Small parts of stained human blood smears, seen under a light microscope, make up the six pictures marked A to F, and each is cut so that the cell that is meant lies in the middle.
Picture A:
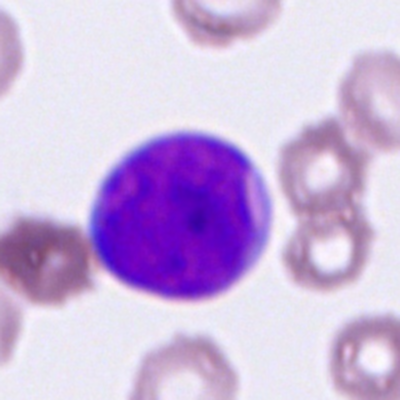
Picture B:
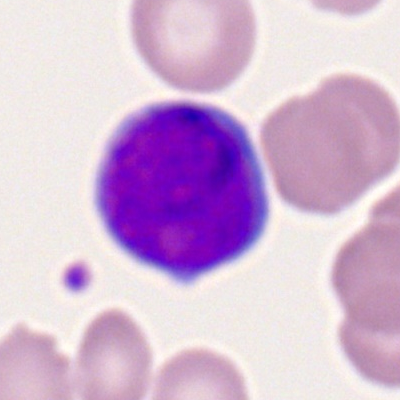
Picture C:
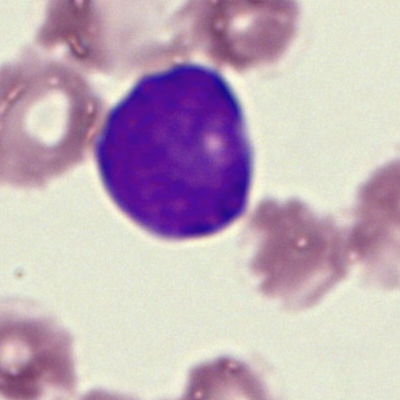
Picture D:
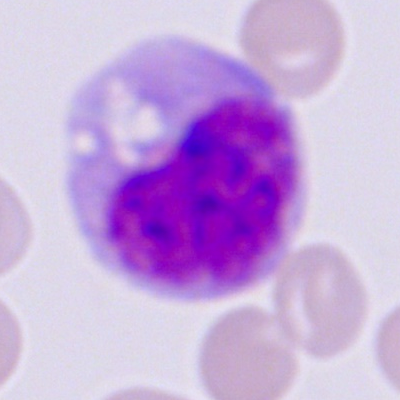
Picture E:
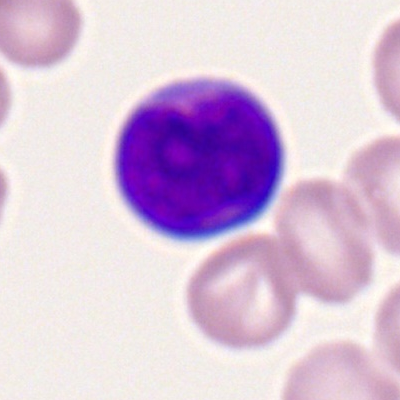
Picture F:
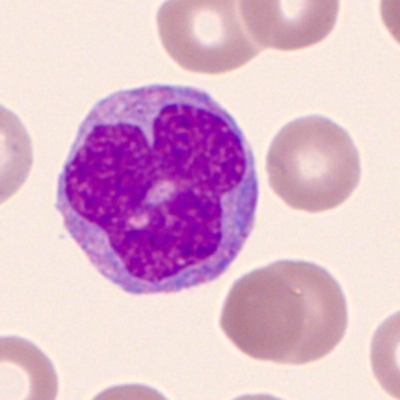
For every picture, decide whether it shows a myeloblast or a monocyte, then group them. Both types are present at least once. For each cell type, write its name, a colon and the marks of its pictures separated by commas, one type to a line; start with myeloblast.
myeloblast: A, B, C, E
monocyte: D, F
